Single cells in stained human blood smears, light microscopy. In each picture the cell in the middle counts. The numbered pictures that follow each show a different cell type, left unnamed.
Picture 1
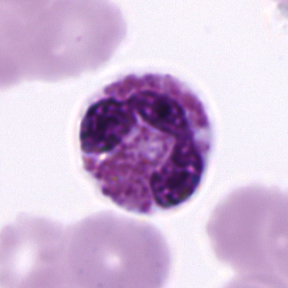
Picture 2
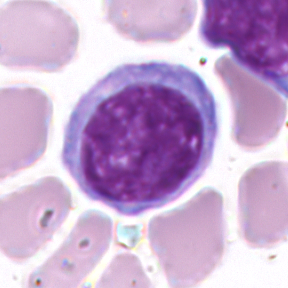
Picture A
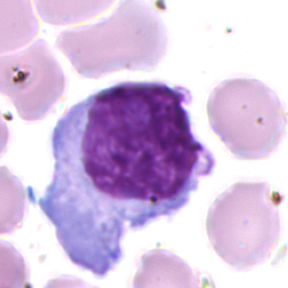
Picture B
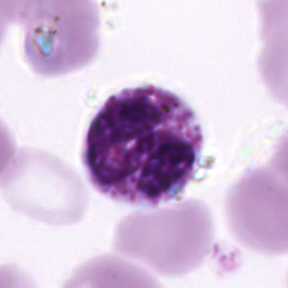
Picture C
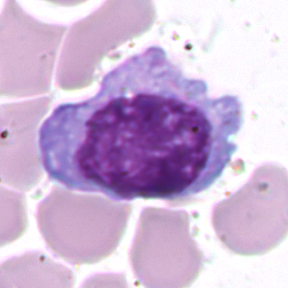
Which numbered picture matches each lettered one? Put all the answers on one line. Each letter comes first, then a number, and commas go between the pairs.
A 2, B 1, C 2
